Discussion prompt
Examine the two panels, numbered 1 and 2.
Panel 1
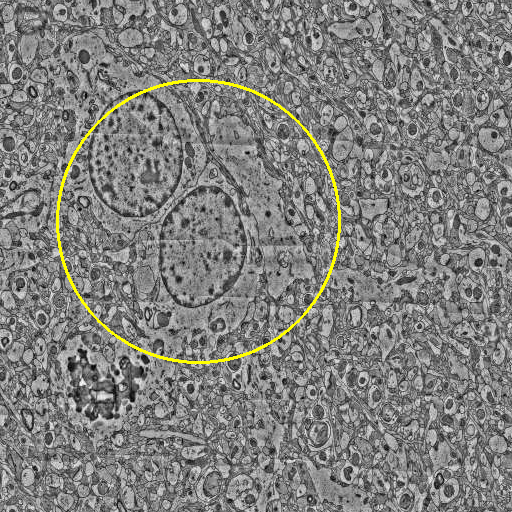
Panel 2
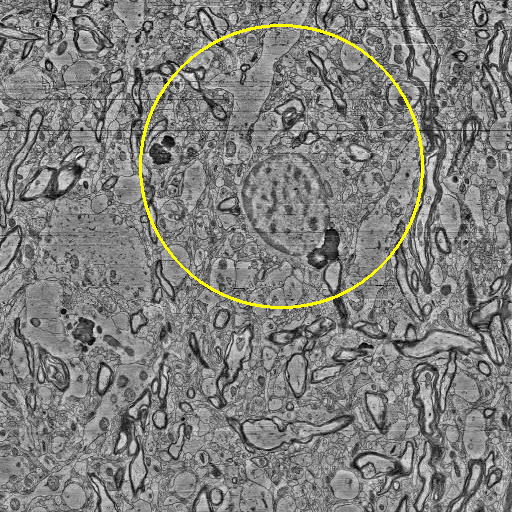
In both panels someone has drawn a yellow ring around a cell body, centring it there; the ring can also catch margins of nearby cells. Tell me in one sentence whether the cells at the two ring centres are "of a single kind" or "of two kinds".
Taken together, the two cells centred in the rings of Panels 1 and 2 are of two kinds.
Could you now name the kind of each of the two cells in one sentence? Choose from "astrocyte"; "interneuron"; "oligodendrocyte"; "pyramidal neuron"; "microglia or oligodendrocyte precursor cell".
The first ring encloses an astrocyte; the second ring encloses an oligodendrocyte.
